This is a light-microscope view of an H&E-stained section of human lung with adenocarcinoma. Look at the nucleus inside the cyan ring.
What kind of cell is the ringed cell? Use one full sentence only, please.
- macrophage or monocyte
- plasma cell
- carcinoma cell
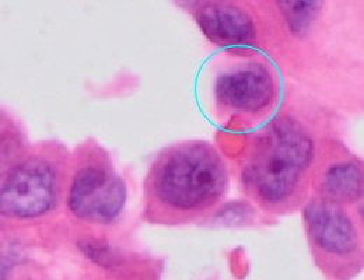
On this particular slide, the ringed cell is a carcinoma cell.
